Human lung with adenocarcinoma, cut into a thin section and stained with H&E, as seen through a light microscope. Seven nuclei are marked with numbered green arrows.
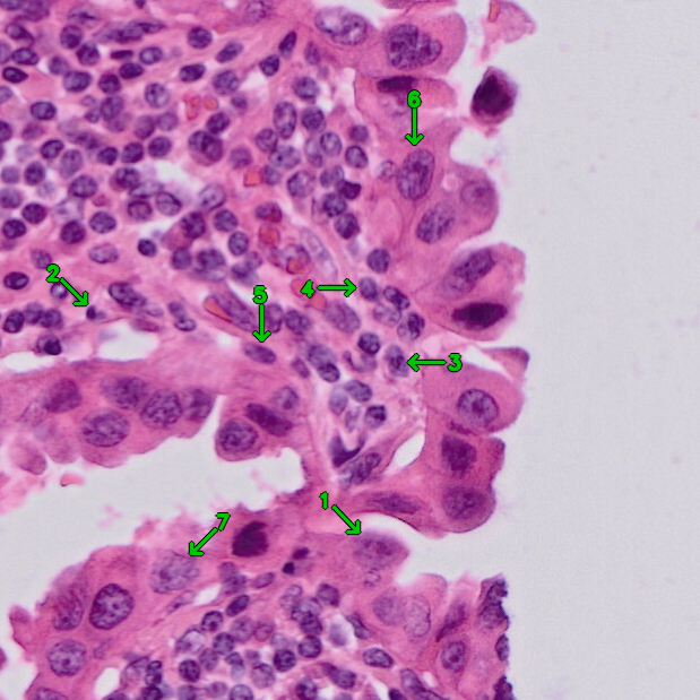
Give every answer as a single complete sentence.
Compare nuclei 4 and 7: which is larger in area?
Nucleus 7 is larger, with an area about 3 times that of nucleus 4.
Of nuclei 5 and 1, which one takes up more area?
Nucleus 1 is larger, with an area about 3 times that of nucleus 5.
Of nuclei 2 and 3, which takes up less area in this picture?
The smaller nucleus is 2, and 3 covers roughly 1.5 times its area.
